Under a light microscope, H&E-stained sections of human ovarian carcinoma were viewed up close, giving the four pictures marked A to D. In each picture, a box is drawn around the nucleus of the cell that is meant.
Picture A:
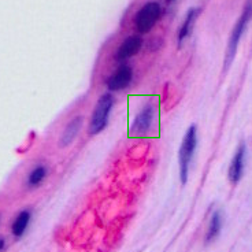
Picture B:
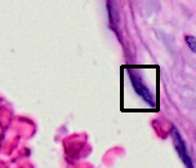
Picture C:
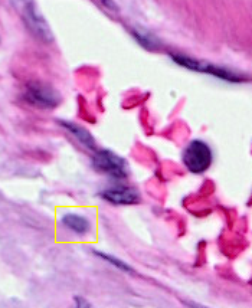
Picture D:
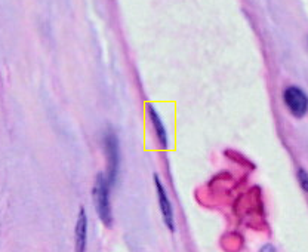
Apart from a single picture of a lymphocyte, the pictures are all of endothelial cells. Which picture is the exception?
C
